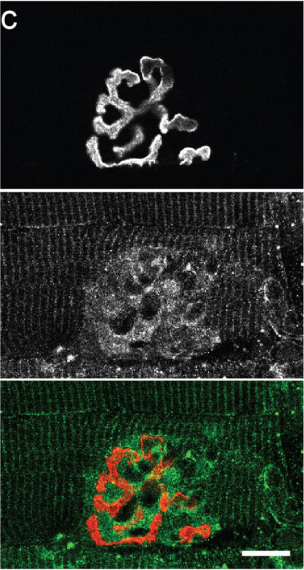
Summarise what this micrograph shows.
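A single skeletal muscle fiber seen lengthwise carries a neuromuscular junction. The green label fills the fiber as a fine granular pattern arranged in regular transverse stripes that follow the cross-striations of the fiber. Beneath the junction the green label is brighter and denser, forming a patch whose dark holes lie between the red branches. In the merged image red bands sit over and beside this brighter green patch, with fine green lines also outlining the fiber edges.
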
